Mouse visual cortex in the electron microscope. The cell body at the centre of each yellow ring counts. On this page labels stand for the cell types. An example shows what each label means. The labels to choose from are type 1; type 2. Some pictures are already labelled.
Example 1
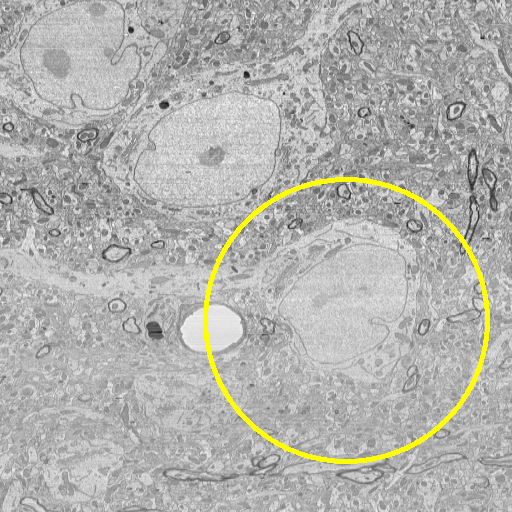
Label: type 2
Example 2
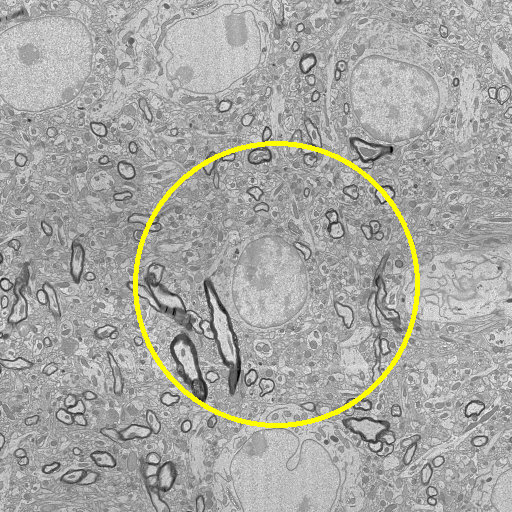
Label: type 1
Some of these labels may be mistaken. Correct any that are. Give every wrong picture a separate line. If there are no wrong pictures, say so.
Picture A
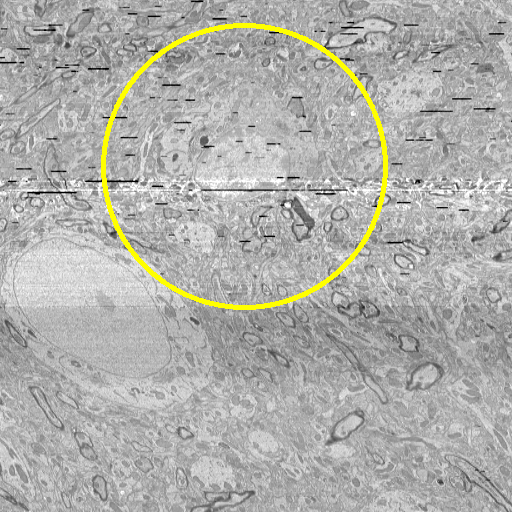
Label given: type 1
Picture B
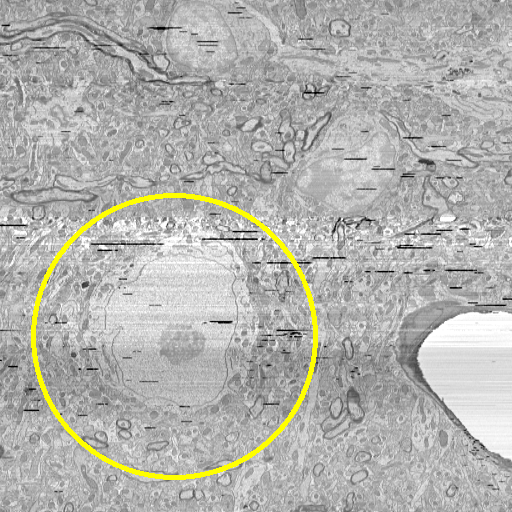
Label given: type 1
Wrong: B (type 1); correct: type 2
